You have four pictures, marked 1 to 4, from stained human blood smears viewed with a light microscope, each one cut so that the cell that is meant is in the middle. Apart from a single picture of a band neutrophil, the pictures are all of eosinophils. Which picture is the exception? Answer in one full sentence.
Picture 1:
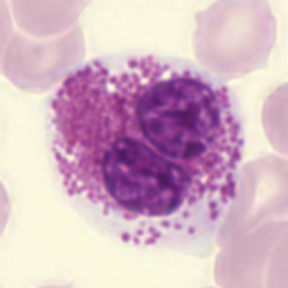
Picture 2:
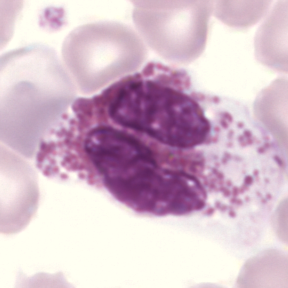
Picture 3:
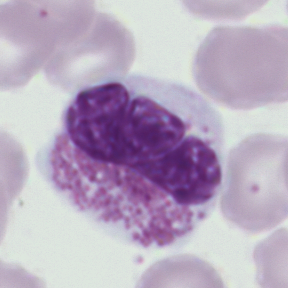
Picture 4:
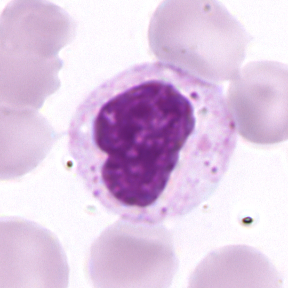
The cell in picture 4 is the band neutrophil.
